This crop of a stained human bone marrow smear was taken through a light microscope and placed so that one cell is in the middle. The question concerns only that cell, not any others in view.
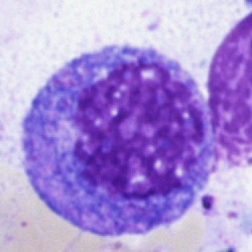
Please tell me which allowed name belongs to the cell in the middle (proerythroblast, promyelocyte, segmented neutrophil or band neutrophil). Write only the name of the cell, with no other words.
promyelocyte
